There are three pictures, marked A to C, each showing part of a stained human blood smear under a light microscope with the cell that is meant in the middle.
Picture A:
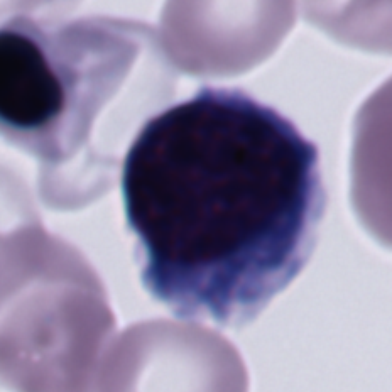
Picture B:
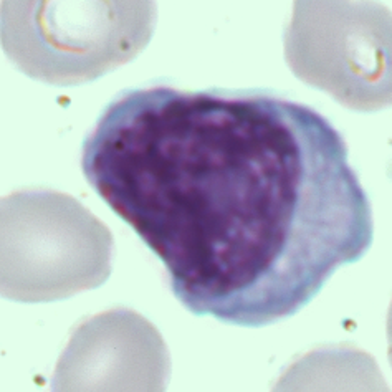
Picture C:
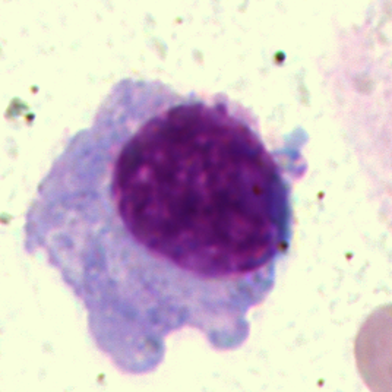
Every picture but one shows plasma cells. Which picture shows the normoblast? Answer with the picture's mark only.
A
